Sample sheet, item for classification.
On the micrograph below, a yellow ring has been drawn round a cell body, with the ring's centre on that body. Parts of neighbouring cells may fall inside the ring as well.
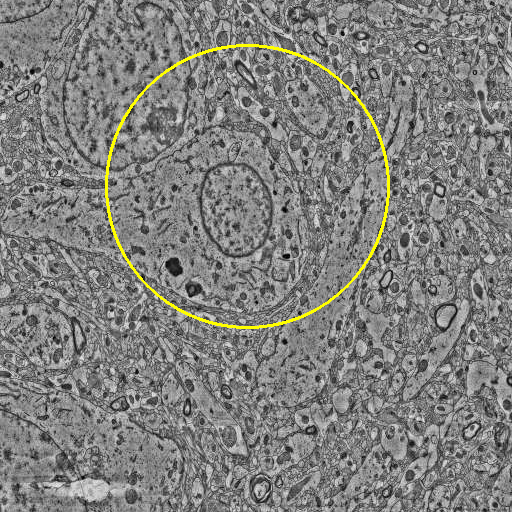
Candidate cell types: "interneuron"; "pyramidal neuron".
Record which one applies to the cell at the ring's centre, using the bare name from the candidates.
pyramidal neuron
